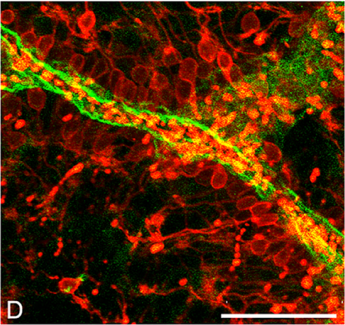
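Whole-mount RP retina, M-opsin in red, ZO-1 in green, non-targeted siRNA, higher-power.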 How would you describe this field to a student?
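Red rounded cell bodies and fragments cluster densely along the green band, where overlap appears yellow-orange. Thin bright green strands run lengthwise within the band. On either side, darker areas hold fewer, more scattered red cells with slender processes extending between them.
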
